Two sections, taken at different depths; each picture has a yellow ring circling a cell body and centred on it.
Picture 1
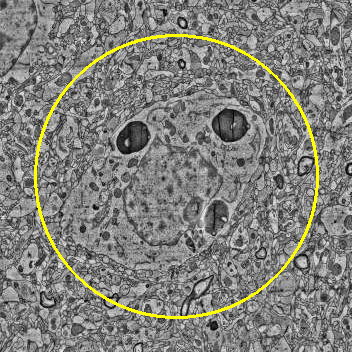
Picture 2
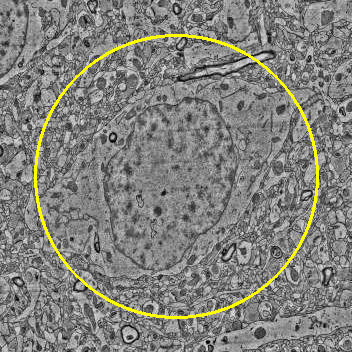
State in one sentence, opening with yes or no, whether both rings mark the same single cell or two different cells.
Yes, one cell accounts for both of the yellow rings.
